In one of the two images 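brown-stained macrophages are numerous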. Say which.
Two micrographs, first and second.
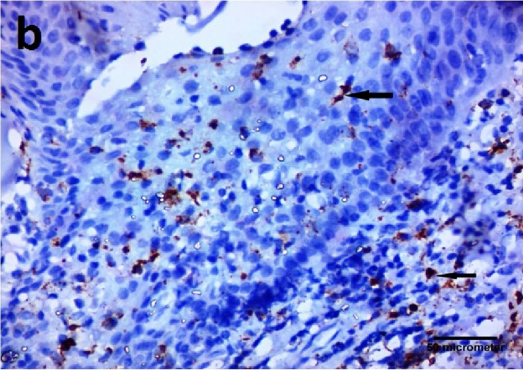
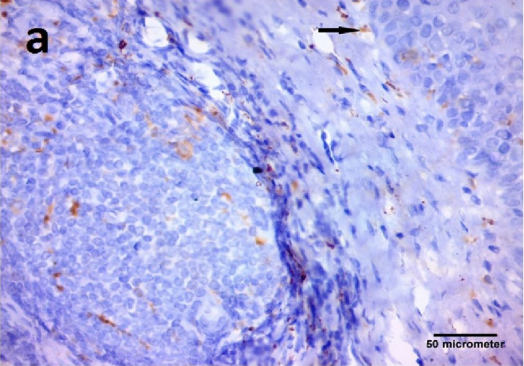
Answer: the first image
